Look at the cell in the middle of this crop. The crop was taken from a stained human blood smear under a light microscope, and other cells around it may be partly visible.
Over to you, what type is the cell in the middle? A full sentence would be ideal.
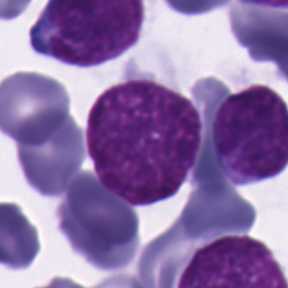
In the middle of this smear crop is a myeloblast.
